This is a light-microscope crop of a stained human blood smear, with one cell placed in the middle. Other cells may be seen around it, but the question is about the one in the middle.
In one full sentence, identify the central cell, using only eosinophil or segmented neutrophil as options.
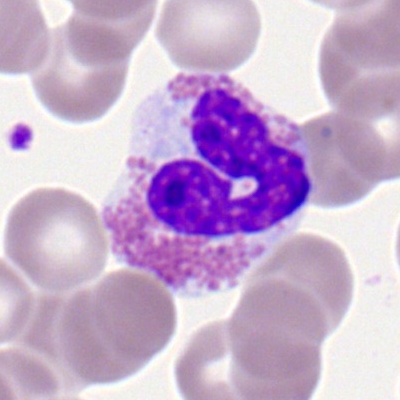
The middle of this crop is occupied by an eosinophil.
